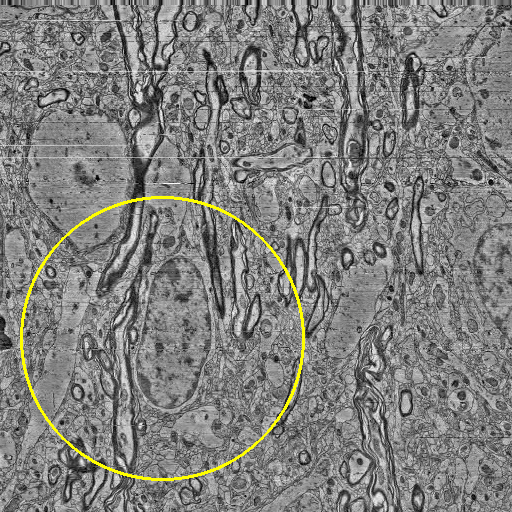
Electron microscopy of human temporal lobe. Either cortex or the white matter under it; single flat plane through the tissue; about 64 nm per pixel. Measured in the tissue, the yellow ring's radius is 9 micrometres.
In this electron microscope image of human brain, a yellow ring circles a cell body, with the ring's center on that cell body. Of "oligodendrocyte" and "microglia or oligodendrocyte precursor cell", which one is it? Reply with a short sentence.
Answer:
It is a microglial cell or oligodendrocyte precursor cell at the center of the ring.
